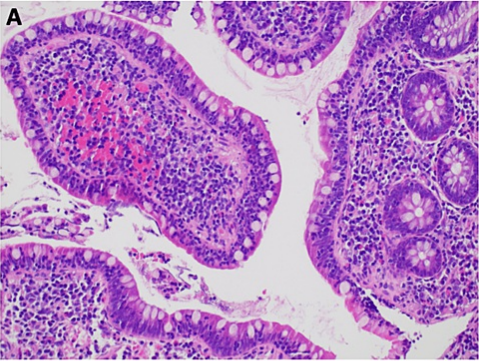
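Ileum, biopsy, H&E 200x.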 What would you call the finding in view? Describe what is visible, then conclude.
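Villi are short and broad rather than tall and slender. Villus cores are filled with inflammatory cells. The answer: mild villous blunting.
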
